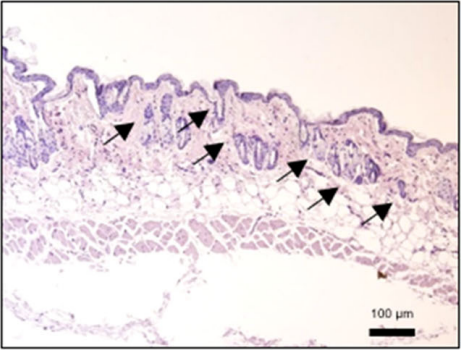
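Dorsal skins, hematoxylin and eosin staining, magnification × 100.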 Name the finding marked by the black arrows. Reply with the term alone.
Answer: Dystrophic hair follicles.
